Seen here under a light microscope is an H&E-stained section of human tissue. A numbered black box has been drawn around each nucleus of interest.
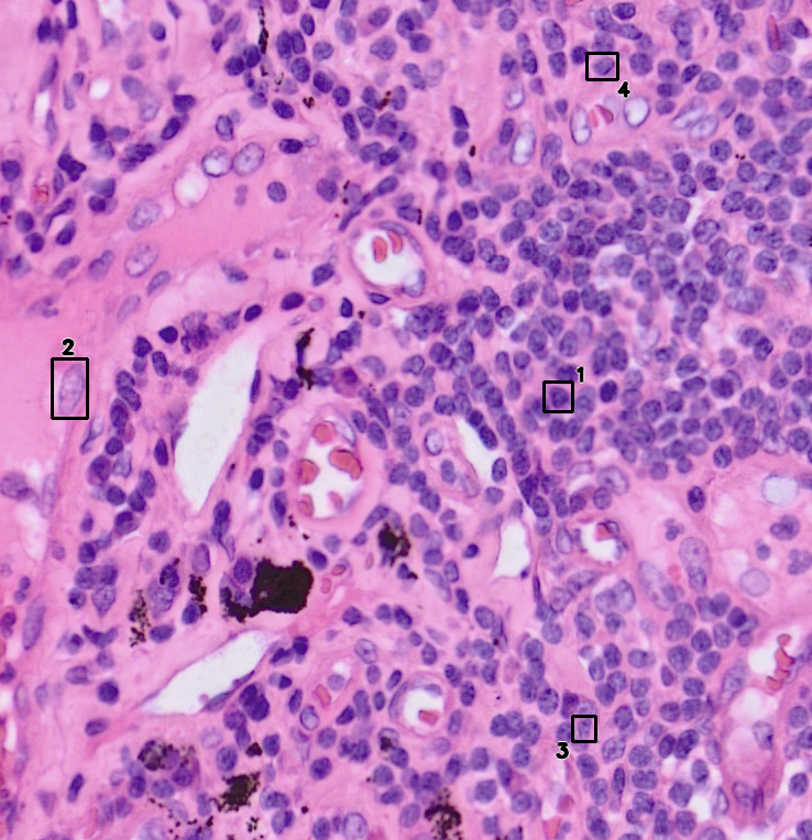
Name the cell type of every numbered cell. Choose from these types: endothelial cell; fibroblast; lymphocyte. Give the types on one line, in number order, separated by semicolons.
lymphocyte; endothelial cell; lymphocyte; lymphocyte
